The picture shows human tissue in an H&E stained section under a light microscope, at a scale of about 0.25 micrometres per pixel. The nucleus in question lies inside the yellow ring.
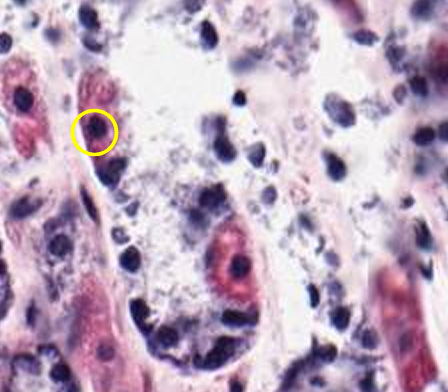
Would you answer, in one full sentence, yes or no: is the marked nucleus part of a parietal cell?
Yes, the marked nucleus lies within a parietal cell.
